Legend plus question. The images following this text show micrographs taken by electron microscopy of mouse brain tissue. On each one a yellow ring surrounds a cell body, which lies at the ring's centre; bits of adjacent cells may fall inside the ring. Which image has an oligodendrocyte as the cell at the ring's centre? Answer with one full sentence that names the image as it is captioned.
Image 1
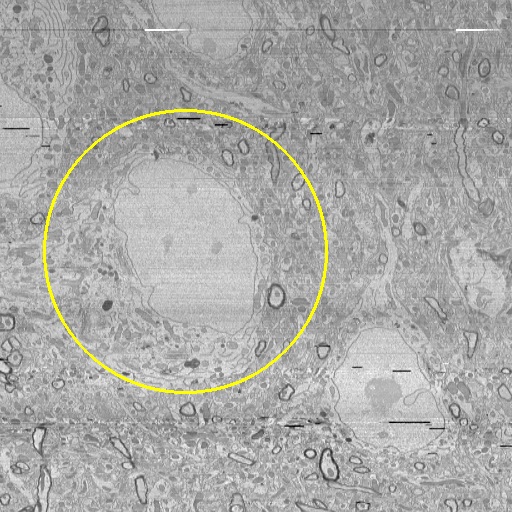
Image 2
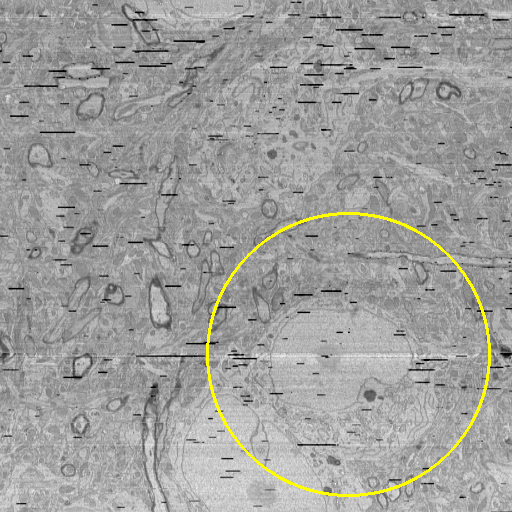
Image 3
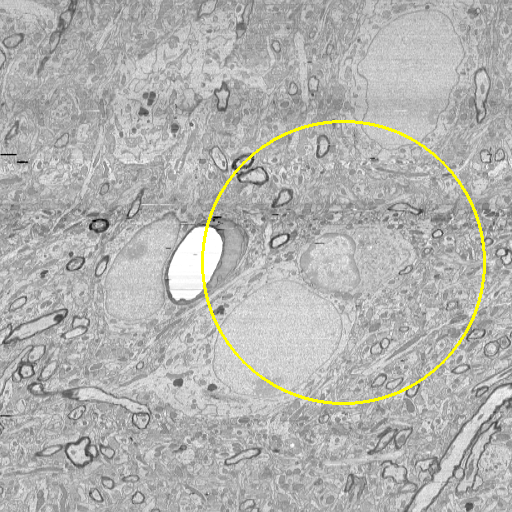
The centred cell that was asked for is the one in Image 3.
